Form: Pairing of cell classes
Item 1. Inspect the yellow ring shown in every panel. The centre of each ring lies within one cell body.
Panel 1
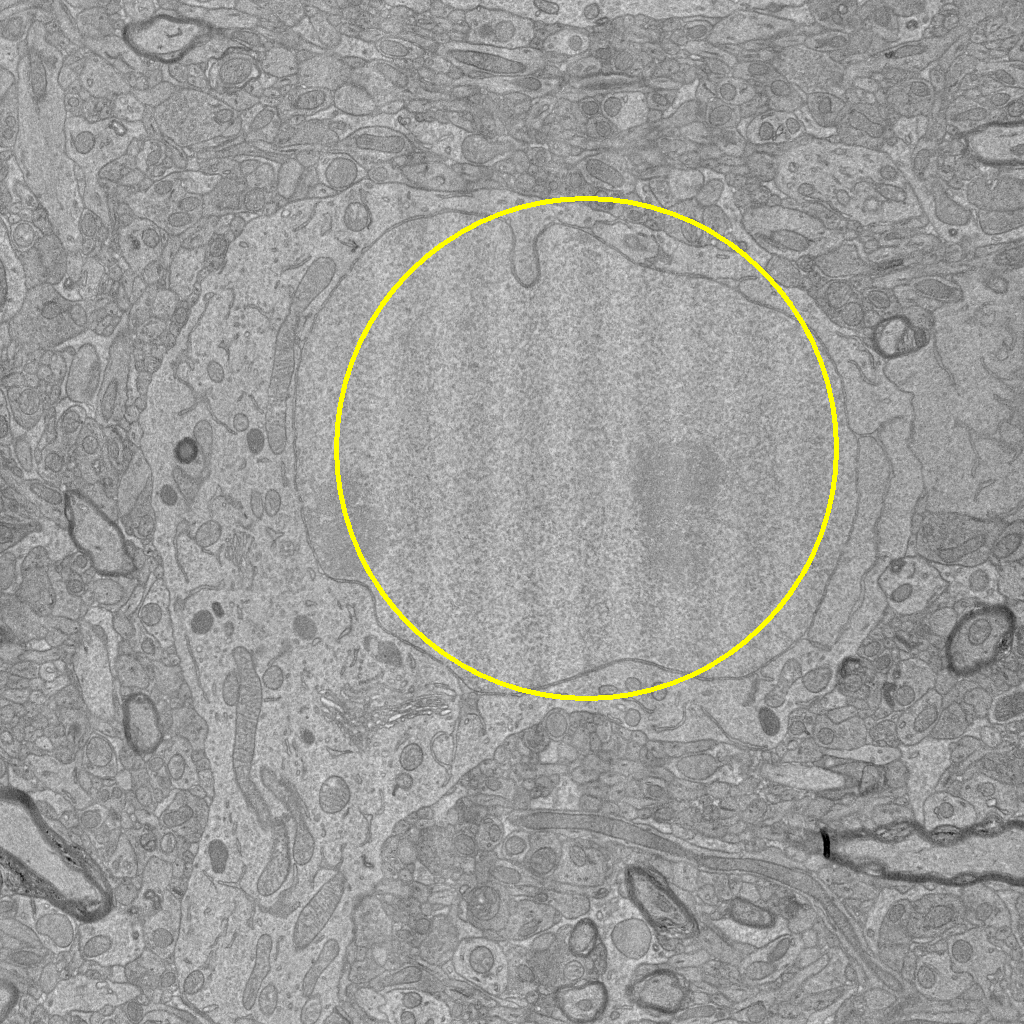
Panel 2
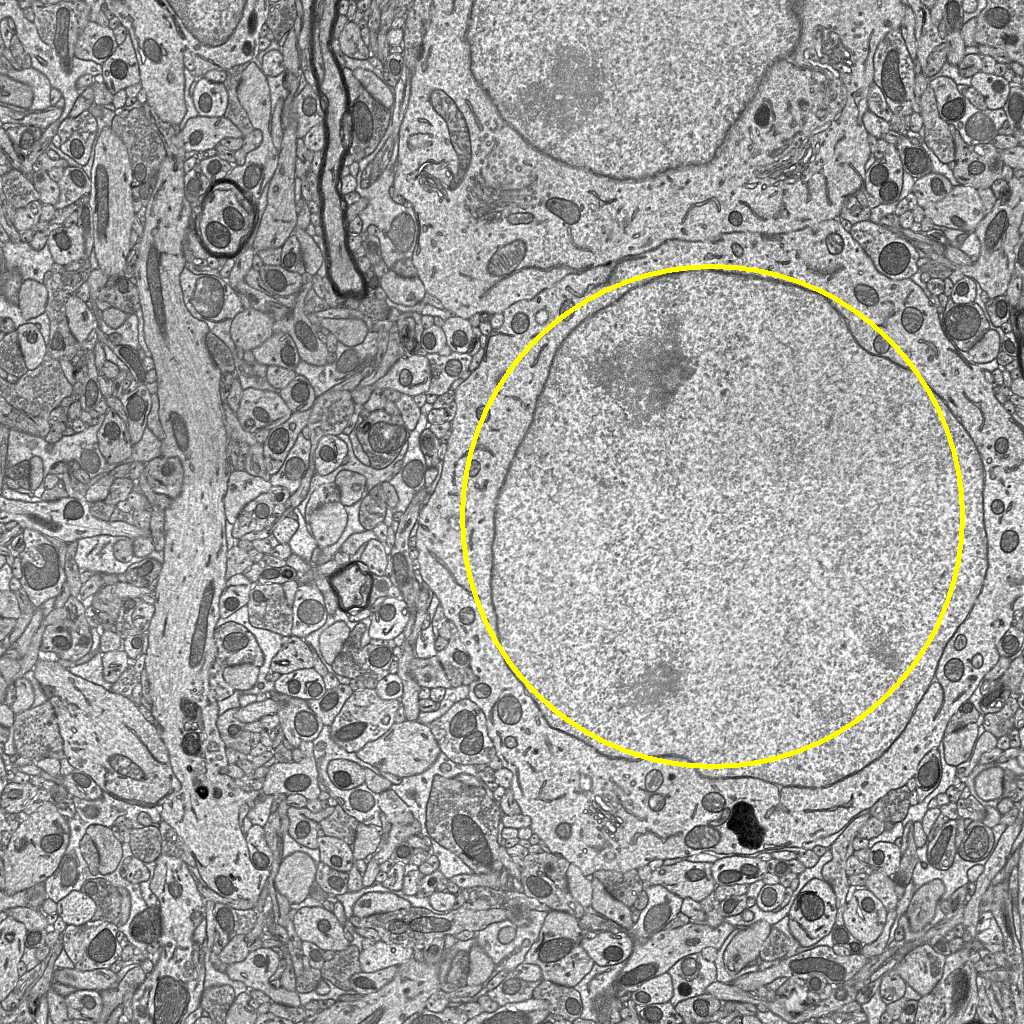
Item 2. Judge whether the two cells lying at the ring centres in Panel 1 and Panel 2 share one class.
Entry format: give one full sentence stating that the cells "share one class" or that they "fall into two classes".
The cells at the ring centres in Panel 1 and Panel 2 share one class.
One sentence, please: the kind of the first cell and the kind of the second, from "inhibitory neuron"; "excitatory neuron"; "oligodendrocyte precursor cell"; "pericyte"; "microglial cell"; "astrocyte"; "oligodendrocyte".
The second cell is an excitatory neuron, just as the first is.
